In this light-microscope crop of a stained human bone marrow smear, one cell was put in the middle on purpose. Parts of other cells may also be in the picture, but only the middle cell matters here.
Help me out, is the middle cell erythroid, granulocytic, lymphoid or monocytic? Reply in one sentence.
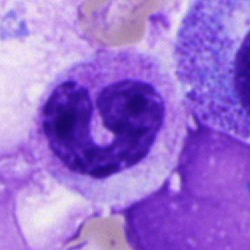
The lineage of the cell at the center of the crop is granulocytic.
